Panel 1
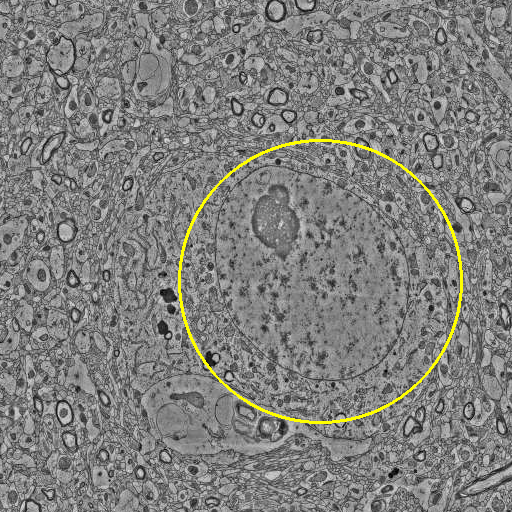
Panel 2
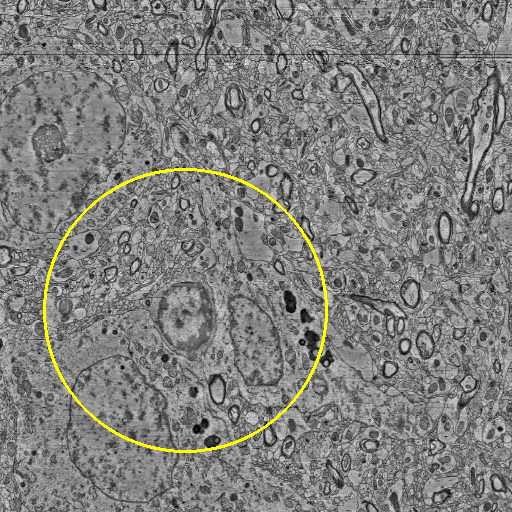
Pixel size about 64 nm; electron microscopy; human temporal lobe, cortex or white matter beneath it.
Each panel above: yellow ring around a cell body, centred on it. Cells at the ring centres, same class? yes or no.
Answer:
no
